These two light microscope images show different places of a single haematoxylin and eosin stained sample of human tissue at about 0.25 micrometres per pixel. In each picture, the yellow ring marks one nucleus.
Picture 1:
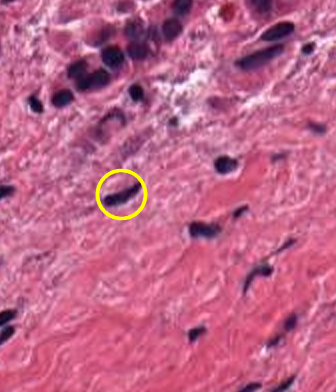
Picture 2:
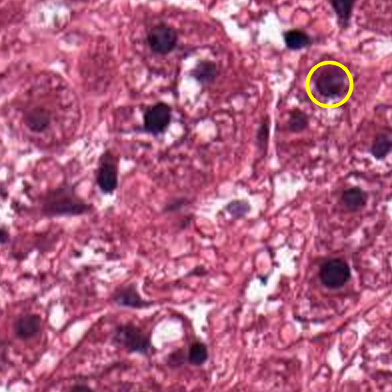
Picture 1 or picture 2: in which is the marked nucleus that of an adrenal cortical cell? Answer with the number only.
2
